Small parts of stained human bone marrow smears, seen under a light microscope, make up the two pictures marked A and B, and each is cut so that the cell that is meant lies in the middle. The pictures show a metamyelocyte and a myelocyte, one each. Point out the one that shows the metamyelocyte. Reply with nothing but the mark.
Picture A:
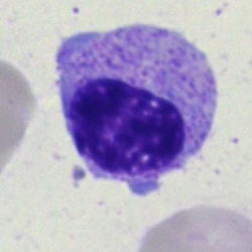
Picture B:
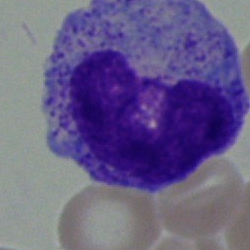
B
